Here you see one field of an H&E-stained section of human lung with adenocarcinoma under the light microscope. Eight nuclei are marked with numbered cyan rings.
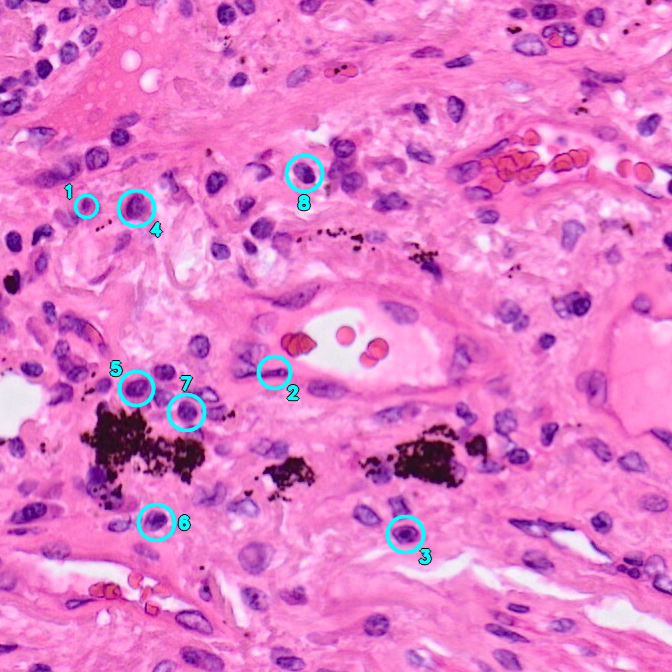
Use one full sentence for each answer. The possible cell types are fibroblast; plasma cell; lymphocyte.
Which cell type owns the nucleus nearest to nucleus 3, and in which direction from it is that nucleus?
Lying above nucleus 3, the nearest nucleus is that of a fibroblast.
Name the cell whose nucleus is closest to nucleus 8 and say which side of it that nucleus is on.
A plasma cell lies closest, to the right of nucleus 8.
